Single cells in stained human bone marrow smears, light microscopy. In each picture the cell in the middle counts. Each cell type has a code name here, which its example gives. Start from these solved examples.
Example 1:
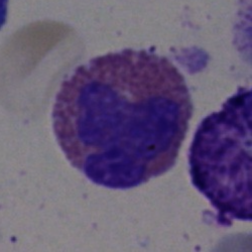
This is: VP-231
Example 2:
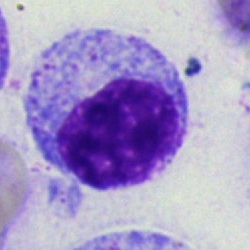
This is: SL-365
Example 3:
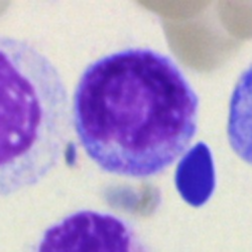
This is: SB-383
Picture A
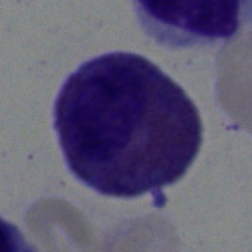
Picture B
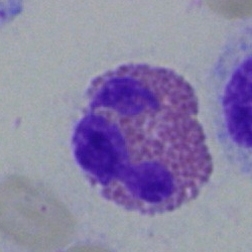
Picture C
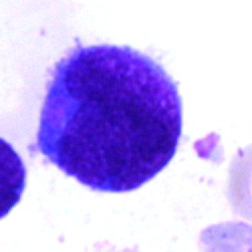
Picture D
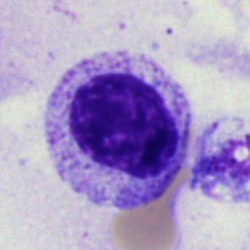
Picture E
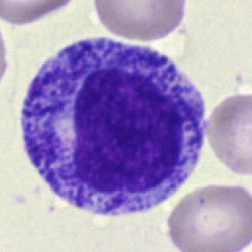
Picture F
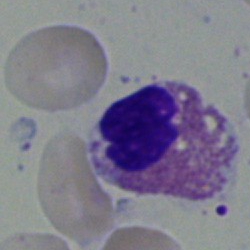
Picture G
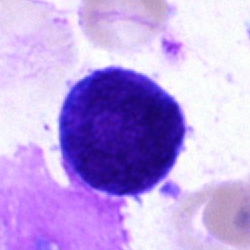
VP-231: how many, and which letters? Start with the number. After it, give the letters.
3, namely A, B, F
